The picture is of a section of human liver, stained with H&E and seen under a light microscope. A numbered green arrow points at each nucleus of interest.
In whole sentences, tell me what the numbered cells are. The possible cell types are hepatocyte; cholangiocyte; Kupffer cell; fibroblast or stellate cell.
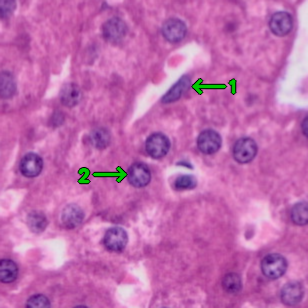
Cell 1 is a Kupffer cell. Cell 2 is a hepatocyte.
